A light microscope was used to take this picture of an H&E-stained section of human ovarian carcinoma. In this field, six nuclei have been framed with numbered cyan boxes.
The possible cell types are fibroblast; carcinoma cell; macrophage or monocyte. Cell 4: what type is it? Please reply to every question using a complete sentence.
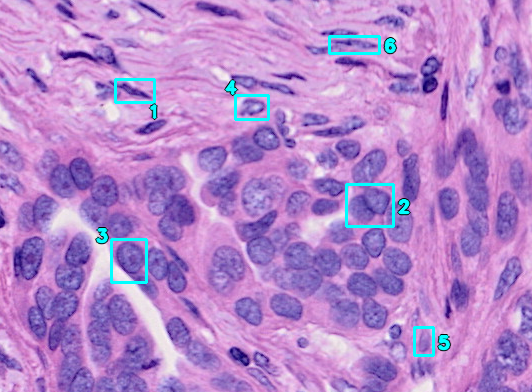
Cell number 4 in this section is a fibroblast.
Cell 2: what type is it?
The cell indicated by marker 2 is a carcinoma cell in this section.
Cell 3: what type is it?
Within this field of view, the cell labelled 3 is a carcinoma cell.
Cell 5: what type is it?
The correct answer for cell 5 is a fibroblast.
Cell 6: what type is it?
The cell referred to as 6 is a fibroblast.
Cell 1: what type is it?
The marked cell with the number 1 is recognised as a fibroblast.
